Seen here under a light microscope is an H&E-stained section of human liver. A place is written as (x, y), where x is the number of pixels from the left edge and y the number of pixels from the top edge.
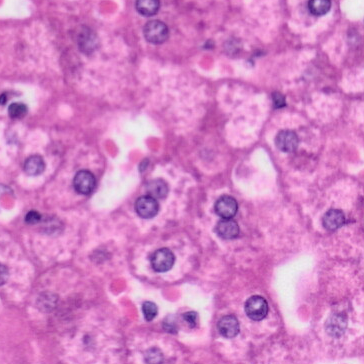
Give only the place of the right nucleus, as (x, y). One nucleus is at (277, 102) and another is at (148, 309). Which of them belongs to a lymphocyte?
(148, 309)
